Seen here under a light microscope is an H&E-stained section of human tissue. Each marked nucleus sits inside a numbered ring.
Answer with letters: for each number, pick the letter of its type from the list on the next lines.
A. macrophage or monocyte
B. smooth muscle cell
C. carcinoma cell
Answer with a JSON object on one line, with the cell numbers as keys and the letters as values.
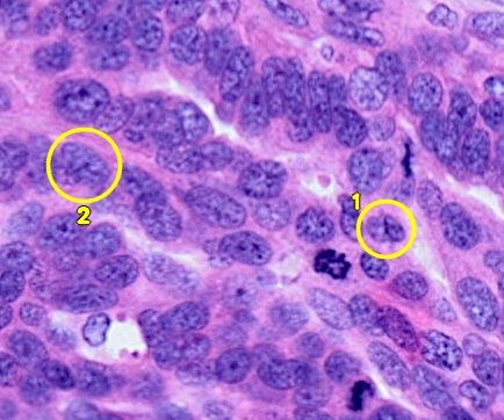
{"1": "A", "2": "C"}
